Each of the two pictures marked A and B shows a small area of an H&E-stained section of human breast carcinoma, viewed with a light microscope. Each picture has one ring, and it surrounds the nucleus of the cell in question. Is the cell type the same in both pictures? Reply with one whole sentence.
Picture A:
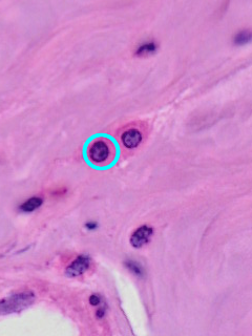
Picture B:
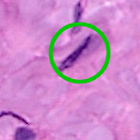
No, picture A shows a mast cell and picture B shows a fibroblast.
